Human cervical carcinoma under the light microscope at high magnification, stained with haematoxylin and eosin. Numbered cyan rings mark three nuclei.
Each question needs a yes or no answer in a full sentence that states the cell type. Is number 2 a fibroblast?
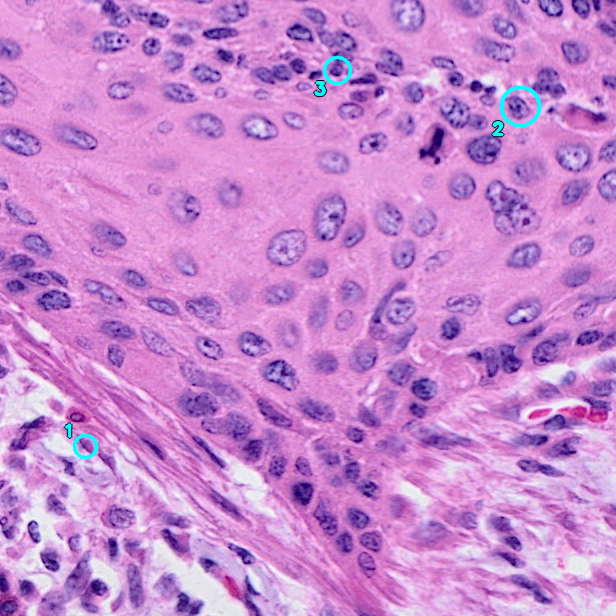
No, rather than a fibroblast, cell number 2 is a squamous carcinoma cell.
